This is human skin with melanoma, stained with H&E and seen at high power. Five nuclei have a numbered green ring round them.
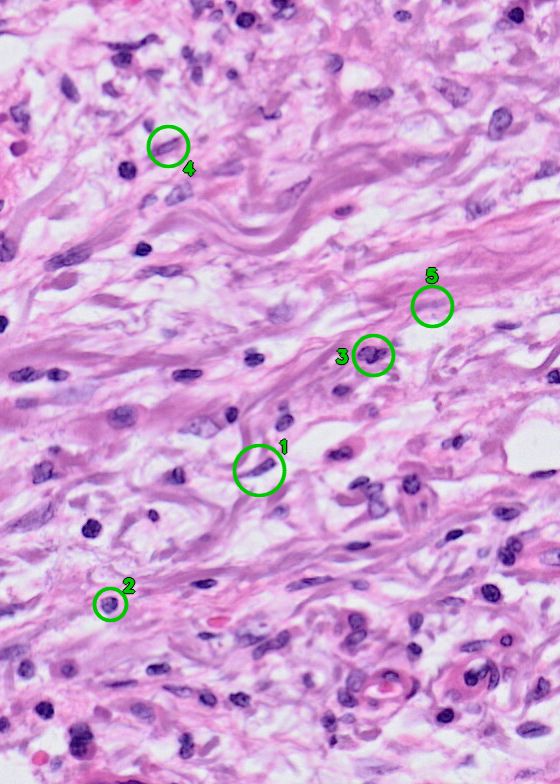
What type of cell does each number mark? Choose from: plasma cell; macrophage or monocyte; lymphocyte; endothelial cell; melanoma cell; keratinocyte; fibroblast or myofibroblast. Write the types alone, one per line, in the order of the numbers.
fibroblast or myofibroblast
lymphocyte
macrophage or monocyte
fibroblast or myofibroblast
fibroblast or myofibroblast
